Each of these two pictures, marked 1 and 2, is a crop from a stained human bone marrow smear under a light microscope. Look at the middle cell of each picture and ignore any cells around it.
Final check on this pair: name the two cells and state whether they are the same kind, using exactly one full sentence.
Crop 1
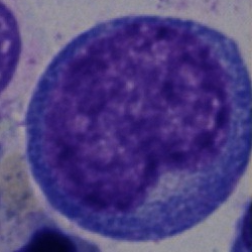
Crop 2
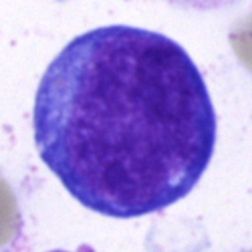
No, crop 1 shows a promyelocyte and crop 2 a proerythroblast.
